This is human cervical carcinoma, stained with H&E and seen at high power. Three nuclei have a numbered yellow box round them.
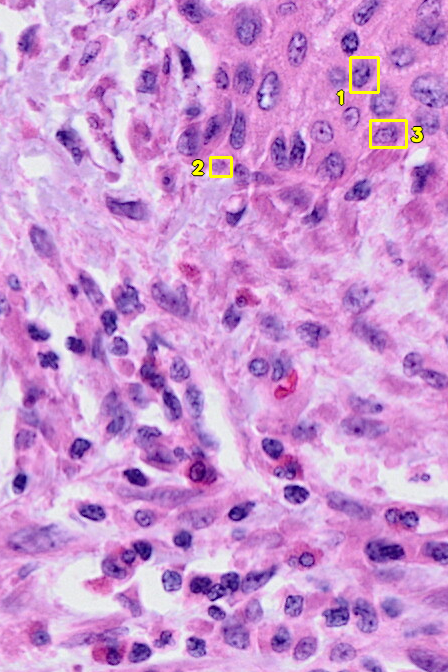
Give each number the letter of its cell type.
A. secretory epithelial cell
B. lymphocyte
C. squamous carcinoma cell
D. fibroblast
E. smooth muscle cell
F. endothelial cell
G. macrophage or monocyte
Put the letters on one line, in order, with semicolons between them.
C; D; C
